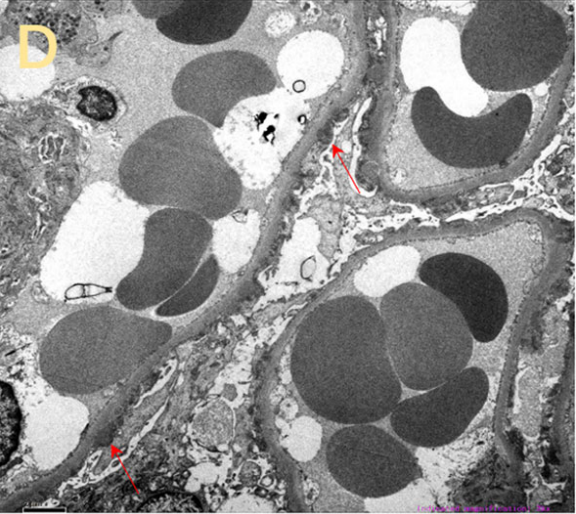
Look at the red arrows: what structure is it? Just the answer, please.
Electron dense substance.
